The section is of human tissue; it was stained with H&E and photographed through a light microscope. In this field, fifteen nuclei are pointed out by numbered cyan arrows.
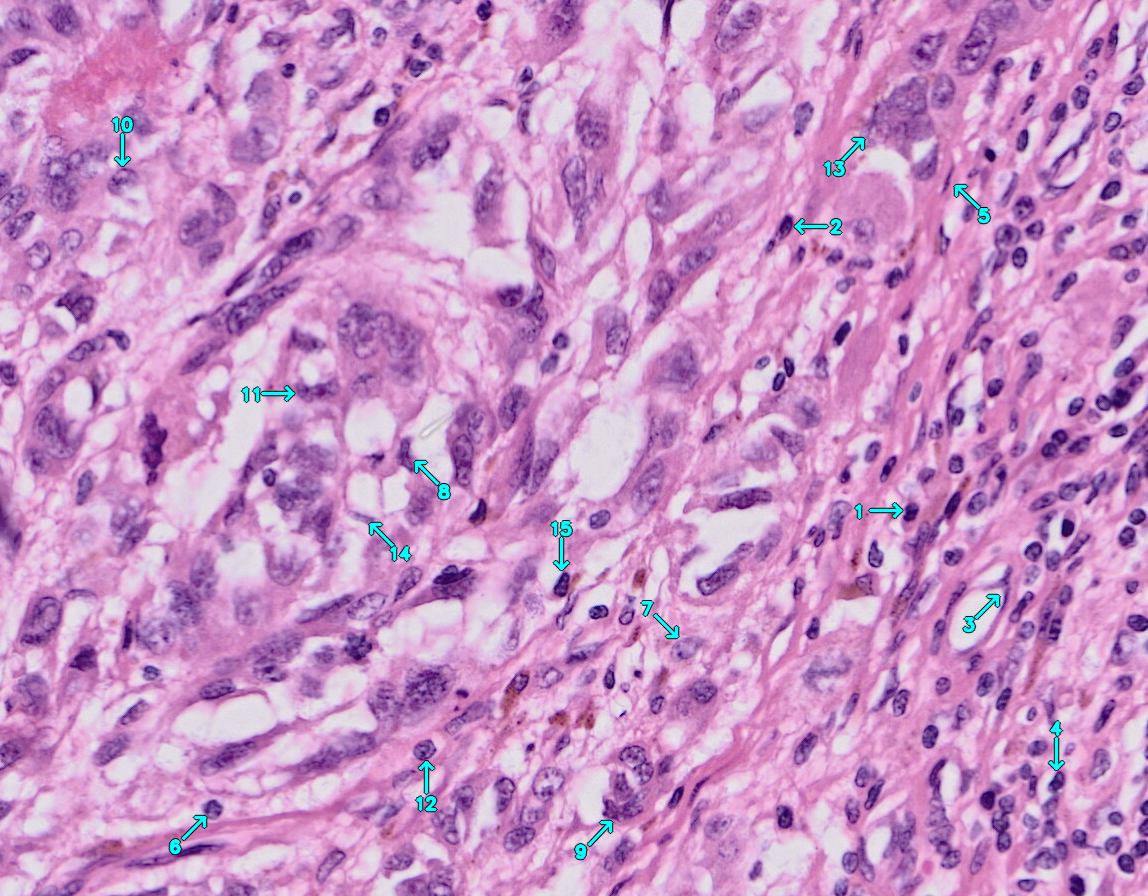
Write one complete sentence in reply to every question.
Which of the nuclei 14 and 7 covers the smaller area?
The smaller nucleus is 14, and 7 covers roughly 2.5 times its area.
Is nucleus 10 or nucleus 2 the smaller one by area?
Number 2 is smaller, since number 10 takes up about 2 times as much area.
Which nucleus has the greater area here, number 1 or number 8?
The larger nucleus is 8, at roughly 2 times the area of 1.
